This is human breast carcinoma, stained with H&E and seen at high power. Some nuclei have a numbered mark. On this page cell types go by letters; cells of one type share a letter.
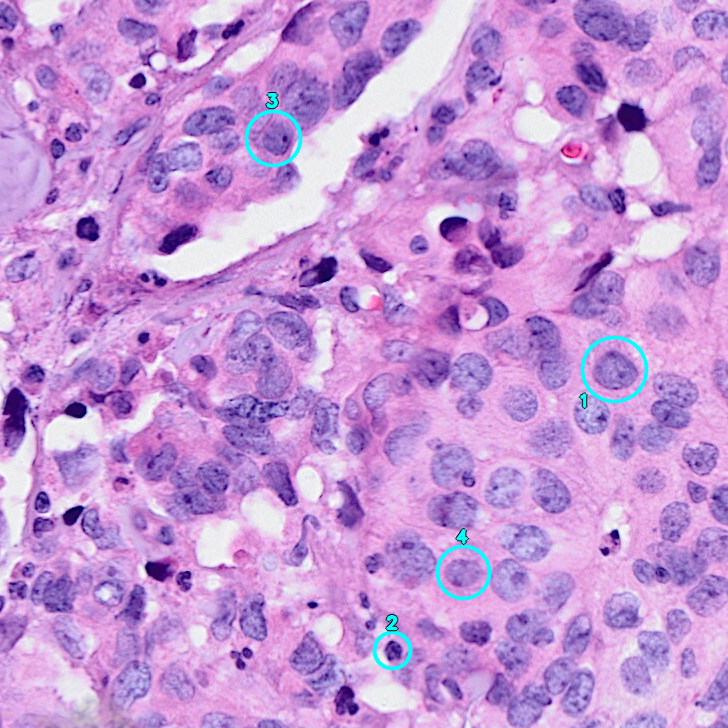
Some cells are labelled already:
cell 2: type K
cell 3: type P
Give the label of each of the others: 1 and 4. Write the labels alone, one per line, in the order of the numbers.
type P
type P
